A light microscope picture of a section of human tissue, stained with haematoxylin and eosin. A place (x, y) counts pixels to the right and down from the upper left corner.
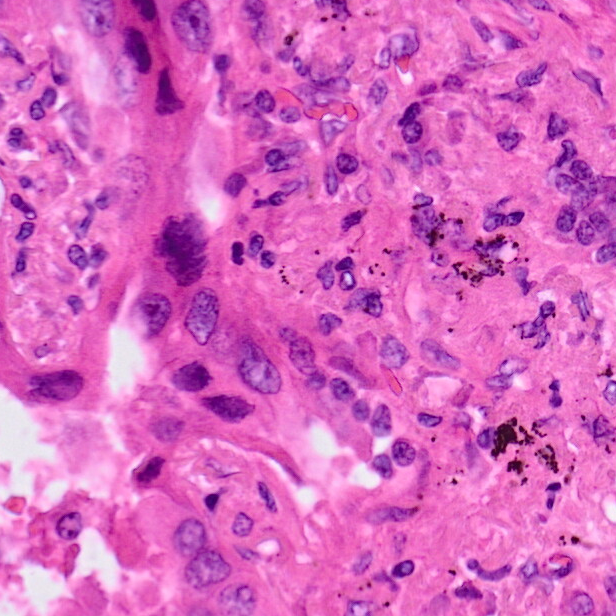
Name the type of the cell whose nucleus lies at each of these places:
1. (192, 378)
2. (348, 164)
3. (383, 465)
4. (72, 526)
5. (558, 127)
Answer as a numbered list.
1. carcinoma cell
2. plasma cell
3. lymphocyte
4. macrophage or monocyte
5. plasma cell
